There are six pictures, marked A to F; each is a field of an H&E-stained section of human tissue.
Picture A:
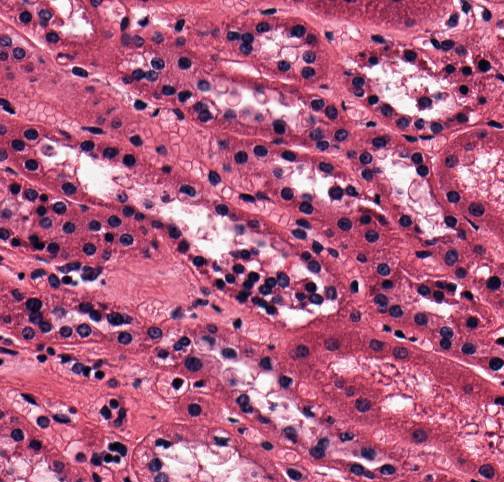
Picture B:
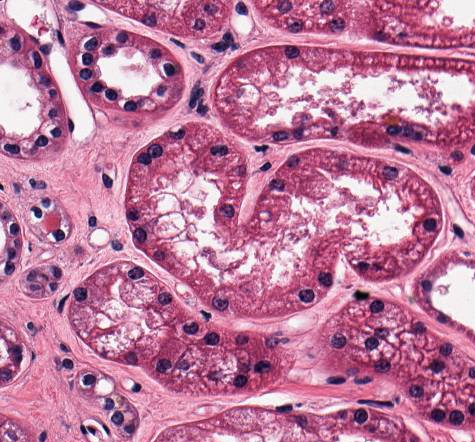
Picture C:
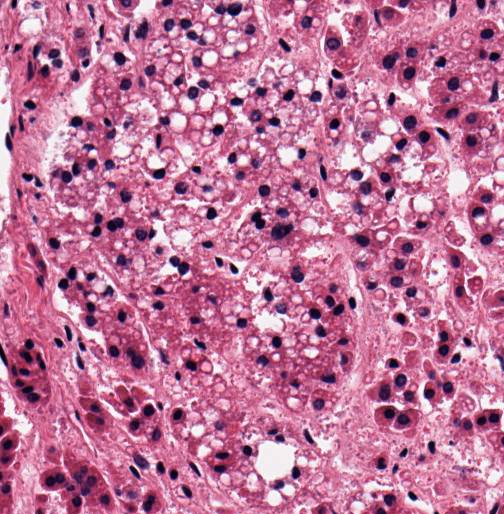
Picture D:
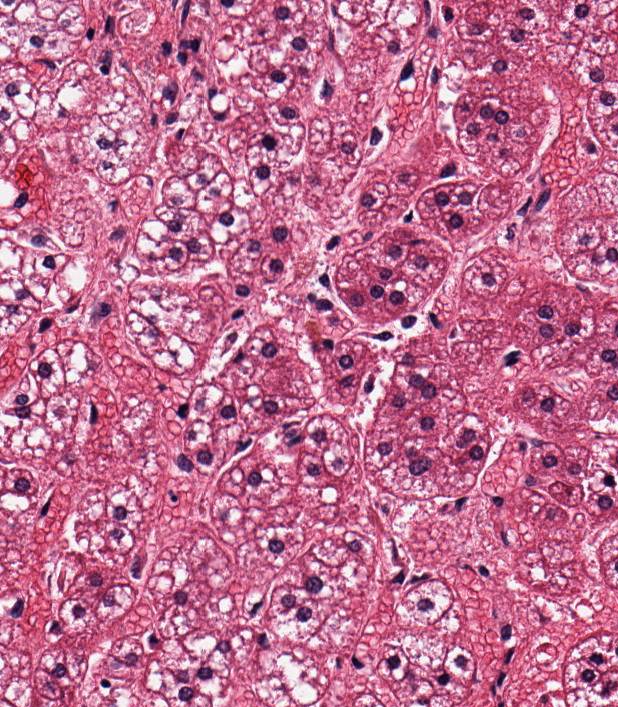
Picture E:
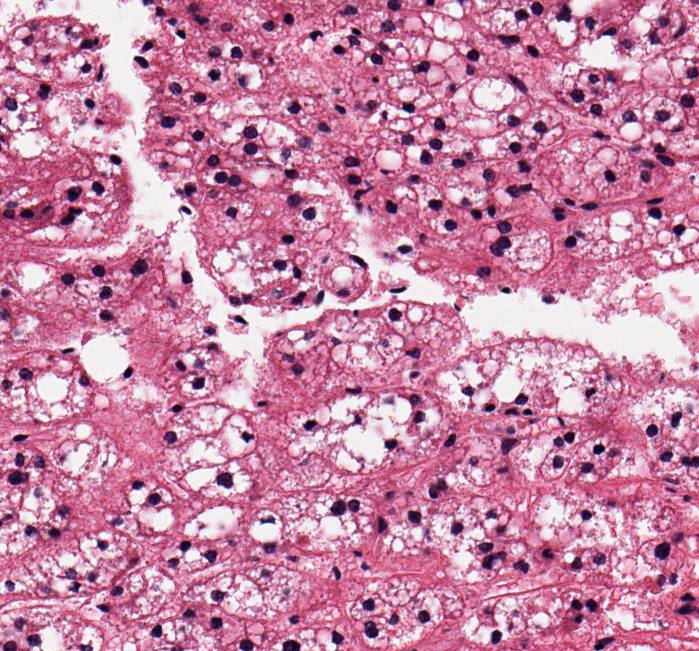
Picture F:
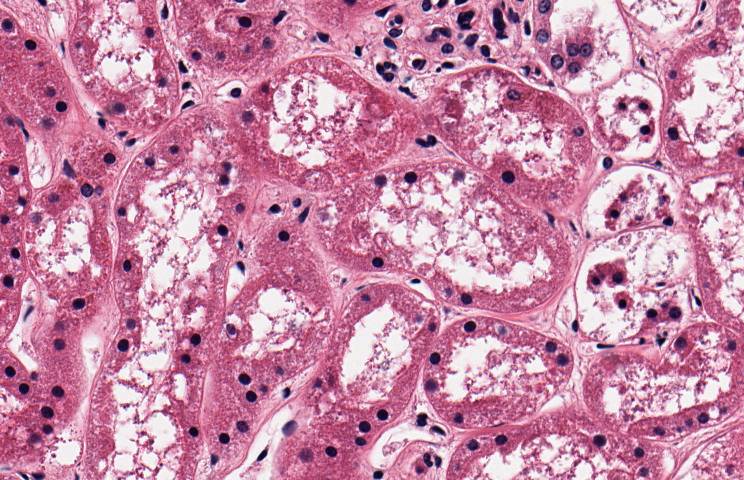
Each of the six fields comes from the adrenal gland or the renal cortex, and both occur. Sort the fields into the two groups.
A: renal cortex
B: renal cortex
C: adrenal gland
D: adrenal gland
E: adrenal gland
F: renal cortex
